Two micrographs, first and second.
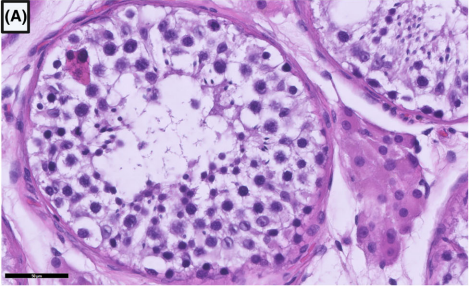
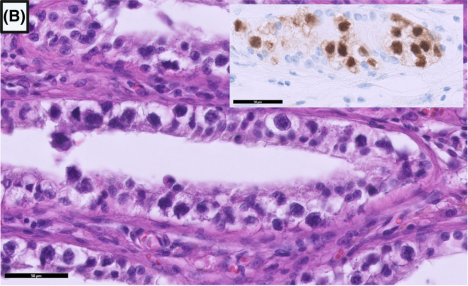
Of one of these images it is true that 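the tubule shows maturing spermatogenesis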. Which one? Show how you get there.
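The first image. First image: many layers of germ cells with small dark nuclei towards the lumen.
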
